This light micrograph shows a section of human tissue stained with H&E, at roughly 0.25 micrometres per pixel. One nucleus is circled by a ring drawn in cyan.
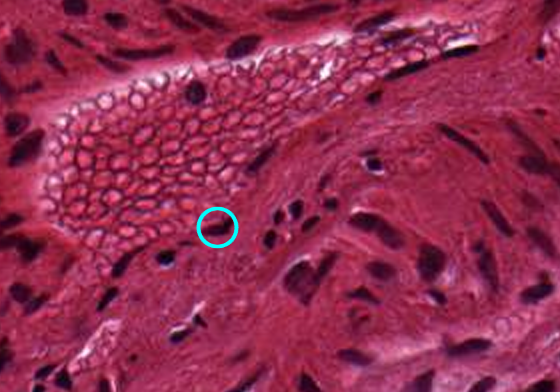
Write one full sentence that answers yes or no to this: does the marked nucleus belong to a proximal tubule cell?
No, rather than to a proximal tubule cell, the marked nucleus belongs to a supporting cell.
